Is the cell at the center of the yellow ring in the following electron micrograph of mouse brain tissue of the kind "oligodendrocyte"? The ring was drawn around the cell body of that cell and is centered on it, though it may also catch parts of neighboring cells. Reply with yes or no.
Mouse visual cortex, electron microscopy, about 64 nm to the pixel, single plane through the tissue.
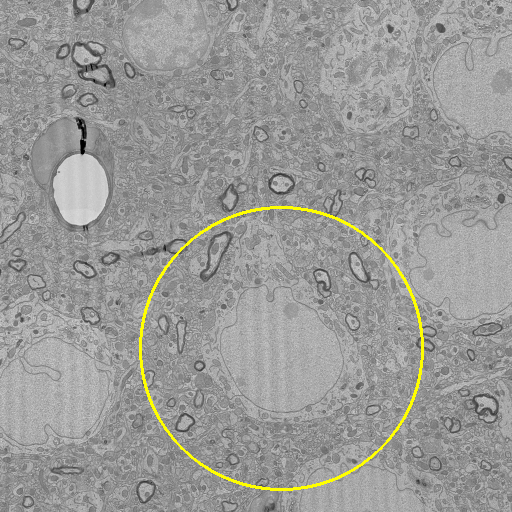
No, it is of another kind.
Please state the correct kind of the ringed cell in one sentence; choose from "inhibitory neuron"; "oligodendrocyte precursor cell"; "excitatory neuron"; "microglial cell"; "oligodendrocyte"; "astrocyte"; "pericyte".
Instead, the cell inside the ring is an excitatory neuron.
